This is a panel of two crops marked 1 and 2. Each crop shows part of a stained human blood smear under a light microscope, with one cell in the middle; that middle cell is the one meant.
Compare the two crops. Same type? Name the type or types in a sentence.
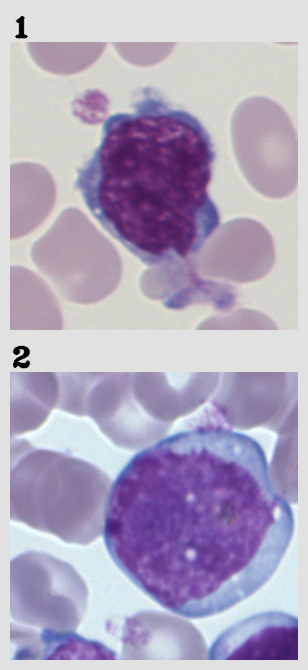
No, enter a typical lymphocyte for crop 1 and a myeloblast for crop 2.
